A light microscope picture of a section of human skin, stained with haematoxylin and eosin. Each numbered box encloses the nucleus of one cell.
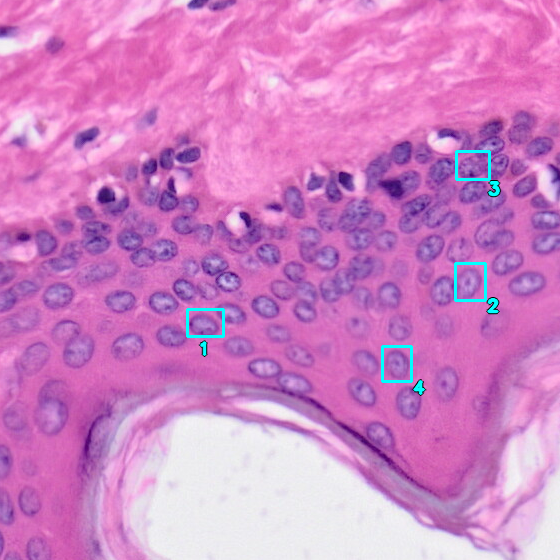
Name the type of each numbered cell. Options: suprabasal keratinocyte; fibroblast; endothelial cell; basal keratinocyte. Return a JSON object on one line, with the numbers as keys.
{"1": "suprabasal keratinocyte", "2": "suprabasal keratinocyte", "3": "basal keratinocyte", "4": "suprabasal keratinocyte"}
